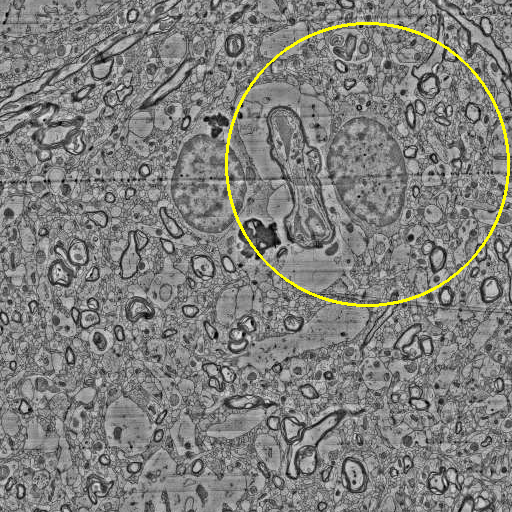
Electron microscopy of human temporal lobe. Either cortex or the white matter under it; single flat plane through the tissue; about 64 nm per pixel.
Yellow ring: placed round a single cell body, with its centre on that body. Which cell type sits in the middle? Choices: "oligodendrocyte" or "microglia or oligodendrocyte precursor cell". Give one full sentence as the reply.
It is an oligodendrocyte whose cell body sits at the centre of the yellow ring.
